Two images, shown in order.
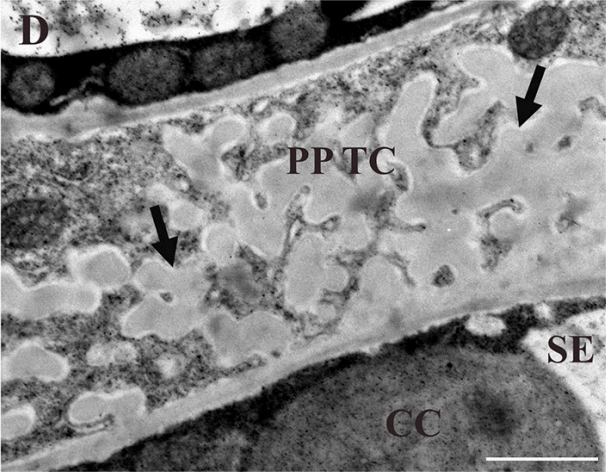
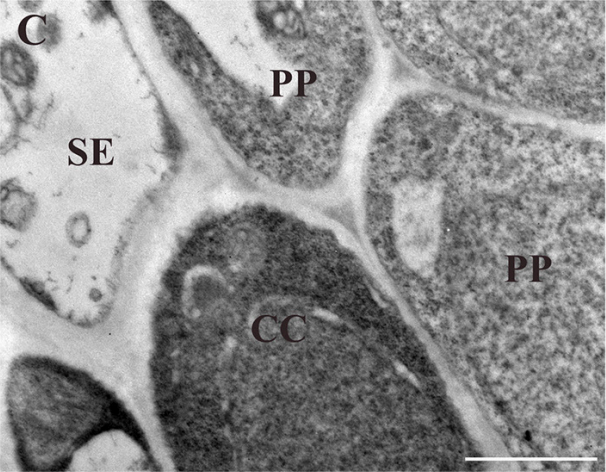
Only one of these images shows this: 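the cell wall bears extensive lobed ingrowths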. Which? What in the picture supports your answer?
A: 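The first image. First image: pale branched wall material projects deep into the cytoplasm of the labelled cell. Second image: the walls between the cells are smooth, thin bands without projections.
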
